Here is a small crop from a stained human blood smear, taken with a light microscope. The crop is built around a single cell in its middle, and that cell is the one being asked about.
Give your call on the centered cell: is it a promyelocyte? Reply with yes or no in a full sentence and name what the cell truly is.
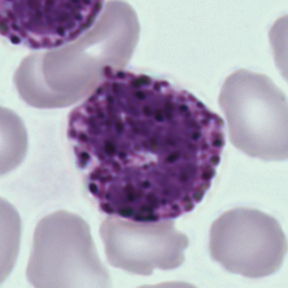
No, a promyelocyte is not what the central cell is; it is a basophil.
